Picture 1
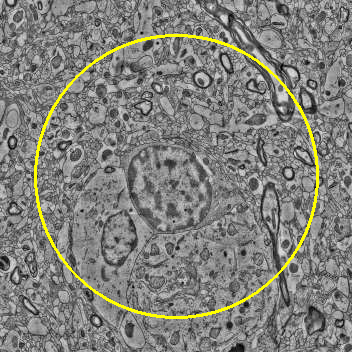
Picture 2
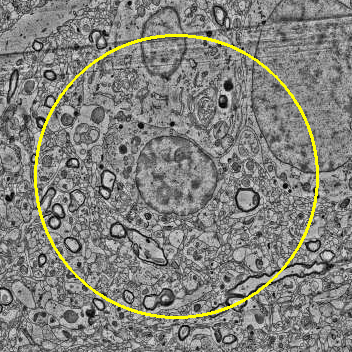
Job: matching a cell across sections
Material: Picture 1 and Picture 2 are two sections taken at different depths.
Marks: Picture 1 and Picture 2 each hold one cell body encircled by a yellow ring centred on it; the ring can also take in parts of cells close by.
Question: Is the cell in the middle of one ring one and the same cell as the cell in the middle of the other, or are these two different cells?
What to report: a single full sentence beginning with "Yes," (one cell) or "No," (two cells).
No, the yellow rings are placed on two separate cells.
